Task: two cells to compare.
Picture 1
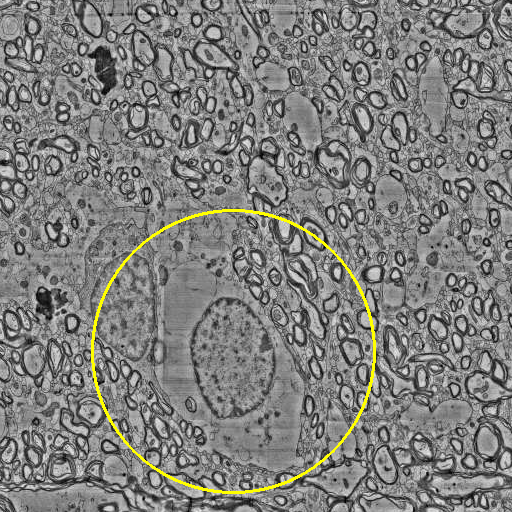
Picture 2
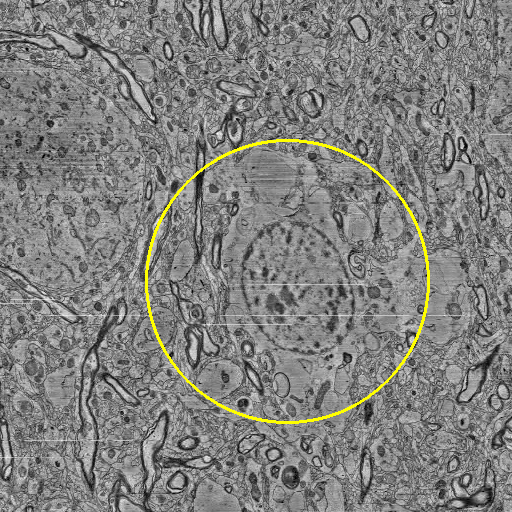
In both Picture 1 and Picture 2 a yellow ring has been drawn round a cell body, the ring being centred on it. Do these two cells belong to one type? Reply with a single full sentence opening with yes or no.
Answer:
Yes, the two cells at the ring centres in Picture 1 and Picture 2 share one type.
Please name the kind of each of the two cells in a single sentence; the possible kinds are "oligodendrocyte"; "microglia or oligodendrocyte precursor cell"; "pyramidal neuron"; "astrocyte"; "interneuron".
Both pictures show an astrocyte at the centre of the ring.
